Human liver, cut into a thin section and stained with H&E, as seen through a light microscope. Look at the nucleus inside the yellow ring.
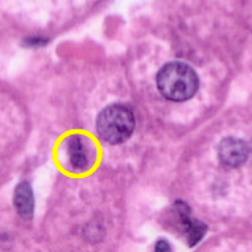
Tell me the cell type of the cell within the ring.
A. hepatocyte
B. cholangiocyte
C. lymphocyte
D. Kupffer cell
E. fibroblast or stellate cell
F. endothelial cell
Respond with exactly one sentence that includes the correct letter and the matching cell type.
Here the correct option is E, since the cell within the ring is a fibroblast or stellate cell.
